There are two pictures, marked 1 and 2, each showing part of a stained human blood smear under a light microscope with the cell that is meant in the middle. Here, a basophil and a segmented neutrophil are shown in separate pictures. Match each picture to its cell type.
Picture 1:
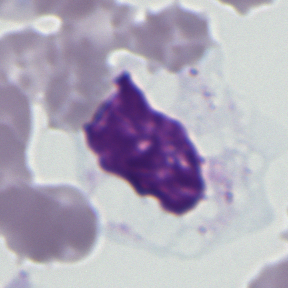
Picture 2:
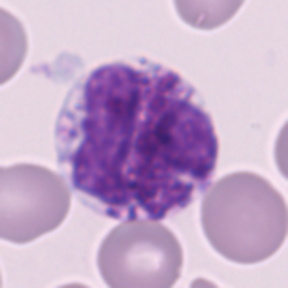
1: segmented neutrophil
2: basophil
